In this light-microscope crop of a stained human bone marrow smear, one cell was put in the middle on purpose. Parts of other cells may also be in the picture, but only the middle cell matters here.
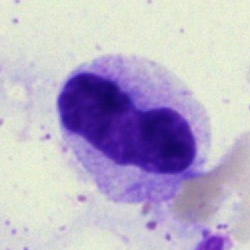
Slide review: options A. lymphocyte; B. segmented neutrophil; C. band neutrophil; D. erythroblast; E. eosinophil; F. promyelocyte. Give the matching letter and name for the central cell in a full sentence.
The cell in the middle is a band neutrophil, so option C is correct.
